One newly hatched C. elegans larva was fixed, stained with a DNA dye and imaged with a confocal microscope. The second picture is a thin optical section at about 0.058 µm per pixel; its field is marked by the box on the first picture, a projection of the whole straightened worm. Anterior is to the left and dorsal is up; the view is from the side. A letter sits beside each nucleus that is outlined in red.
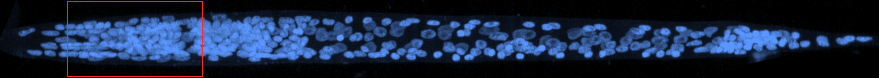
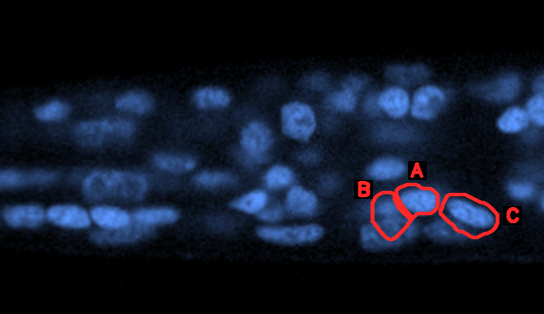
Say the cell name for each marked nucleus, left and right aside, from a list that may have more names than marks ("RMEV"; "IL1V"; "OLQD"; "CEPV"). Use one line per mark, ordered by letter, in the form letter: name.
A: CEPV
B: IL1V
C: RMEV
